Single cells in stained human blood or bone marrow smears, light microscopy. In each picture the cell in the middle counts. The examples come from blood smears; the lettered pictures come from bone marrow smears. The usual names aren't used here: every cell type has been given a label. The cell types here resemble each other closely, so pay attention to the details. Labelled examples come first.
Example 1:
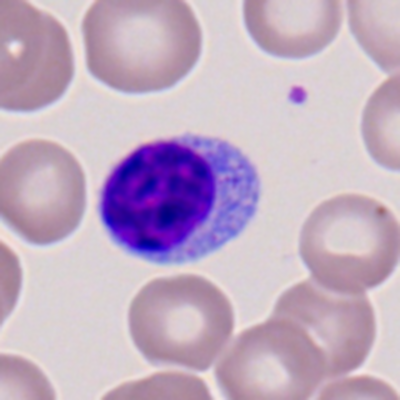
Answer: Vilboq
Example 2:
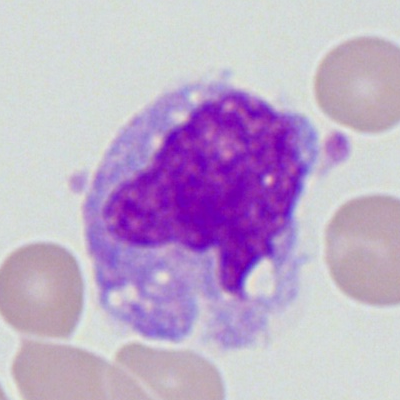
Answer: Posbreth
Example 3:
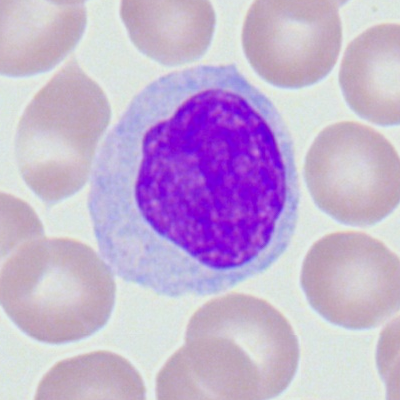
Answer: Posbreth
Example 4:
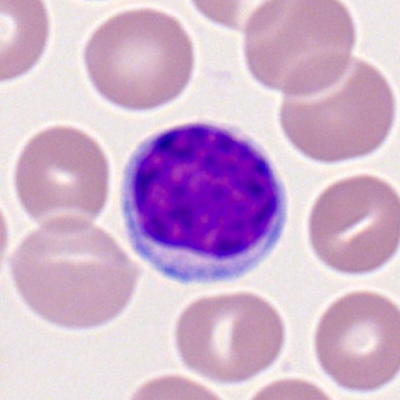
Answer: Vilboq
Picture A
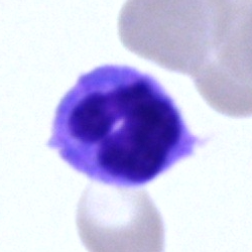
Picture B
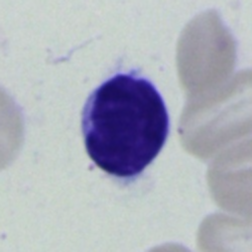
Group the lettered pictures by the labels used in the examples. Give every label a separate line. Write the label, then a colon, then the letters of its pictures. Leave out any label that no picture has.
Vilboq: B
Posbreth: A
